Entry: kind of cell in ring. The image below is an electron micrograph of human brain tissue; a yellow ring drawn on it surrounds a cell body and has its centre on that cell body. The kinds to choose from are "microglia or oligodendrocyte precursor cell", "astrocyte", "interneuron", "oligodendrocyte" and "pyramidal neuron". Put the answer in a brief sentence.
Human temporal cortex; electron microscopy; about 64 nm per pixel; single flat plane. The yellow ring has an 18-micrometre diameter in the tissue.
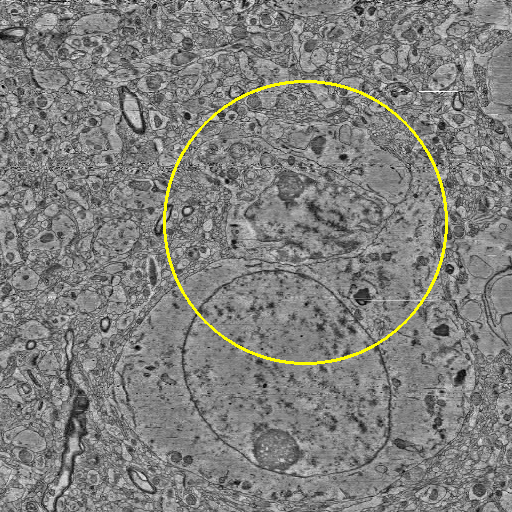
The ring has been drawn around an interneuron.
